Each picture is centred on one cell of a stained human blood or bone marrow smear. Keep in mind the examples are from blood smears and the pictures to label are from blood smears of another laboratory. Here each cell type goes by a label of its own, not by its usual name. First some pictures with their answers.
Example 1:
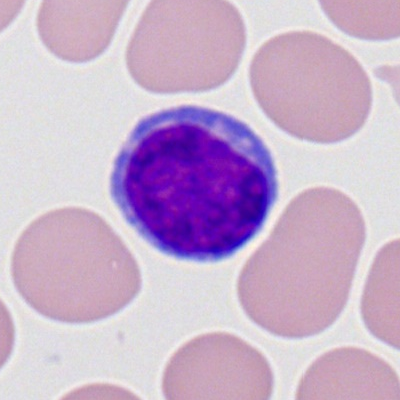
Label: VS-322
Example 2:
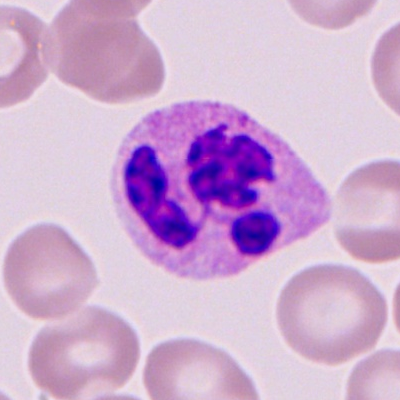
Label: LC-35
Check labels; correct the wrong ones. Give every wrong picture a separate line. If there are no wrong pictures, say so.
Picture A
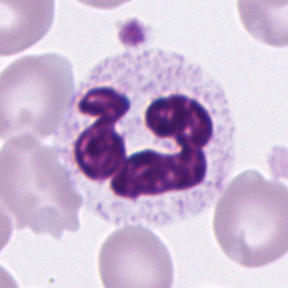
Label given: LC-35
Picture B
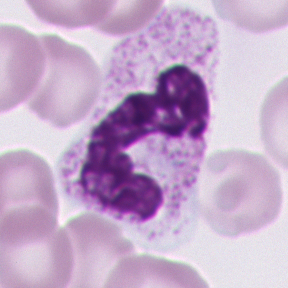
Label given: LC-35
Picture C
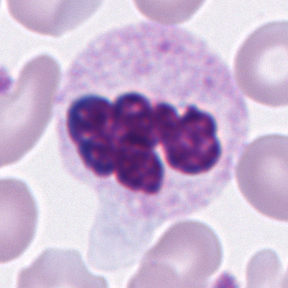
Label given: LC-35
Every label is right.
